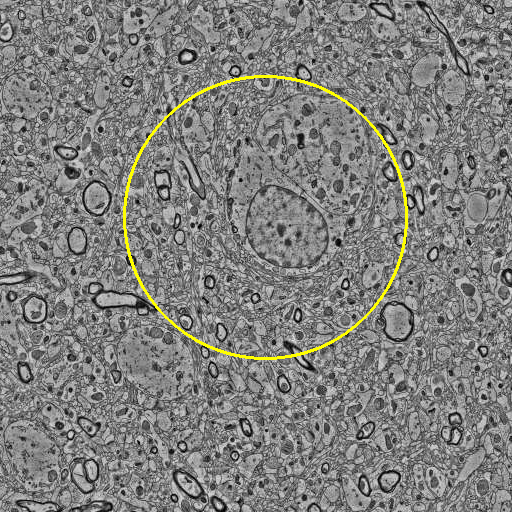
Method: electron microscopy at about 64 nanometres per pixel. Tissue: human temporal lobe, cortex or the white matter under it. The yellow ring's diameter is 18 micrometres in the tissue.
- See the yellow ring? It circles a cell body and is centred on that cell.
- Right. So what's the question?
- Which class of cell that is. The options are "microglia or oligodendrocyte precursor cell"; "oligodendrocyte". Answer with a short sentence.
The centre of the ring holds a microglial cell or oligodendrocyte precursor cell.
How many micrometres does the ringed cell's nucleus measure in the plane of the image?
The nucleus works out at approximately 6 by 5 micrometres in this plane.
